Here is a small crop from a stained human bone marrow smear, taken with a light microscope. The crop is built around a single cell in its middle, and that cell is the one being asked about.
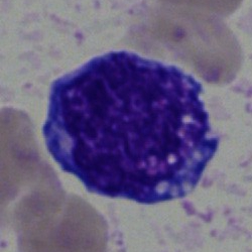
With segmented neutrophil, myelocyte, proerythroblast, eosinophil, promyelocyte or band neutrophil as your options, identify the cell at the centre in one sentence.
Seen at the centre of the crop is a promyelocyte.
